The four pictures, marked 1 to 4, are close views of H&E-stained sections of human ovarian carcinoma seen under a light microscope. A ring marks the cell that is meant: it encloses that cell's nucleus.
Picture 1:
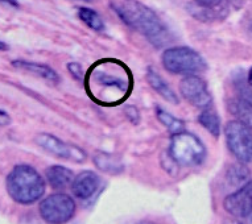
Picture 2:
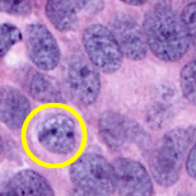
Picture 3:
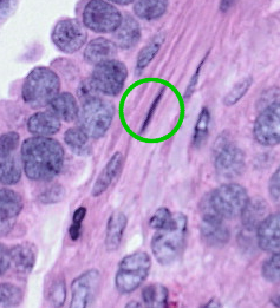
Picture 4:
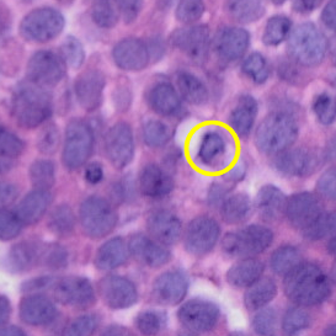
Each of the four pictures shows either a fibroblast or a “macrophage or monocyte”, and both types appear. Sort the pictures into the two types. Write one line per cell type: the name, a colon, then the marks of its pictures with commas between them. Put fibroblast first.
fibroblast: 1, 3
macrophage or monocyte: 2, 4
